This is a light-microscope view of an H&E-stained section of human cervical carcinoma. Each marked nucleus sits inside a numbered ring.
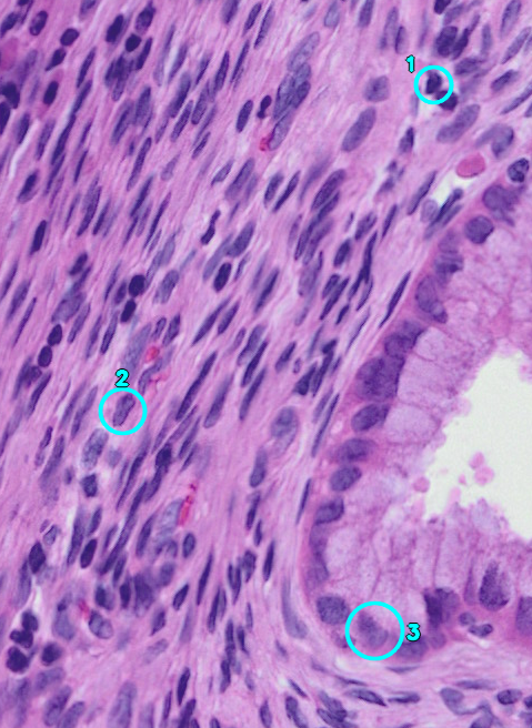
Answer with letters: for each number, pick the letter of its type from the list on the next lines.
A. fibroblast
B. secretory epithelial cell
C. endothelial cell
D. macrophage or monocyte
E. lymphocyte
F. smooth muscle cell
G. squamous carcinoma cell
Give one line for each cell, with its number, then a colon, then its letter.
1: E
2: C
3: B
